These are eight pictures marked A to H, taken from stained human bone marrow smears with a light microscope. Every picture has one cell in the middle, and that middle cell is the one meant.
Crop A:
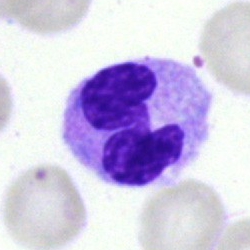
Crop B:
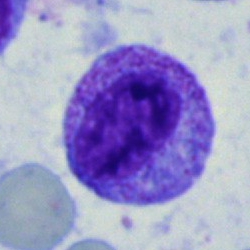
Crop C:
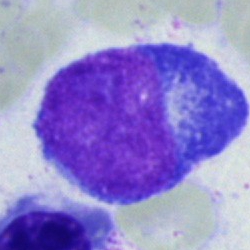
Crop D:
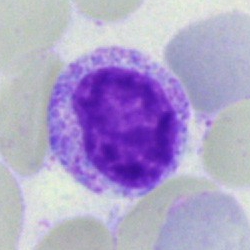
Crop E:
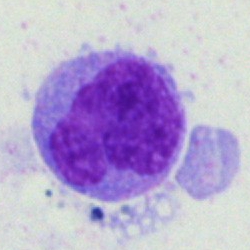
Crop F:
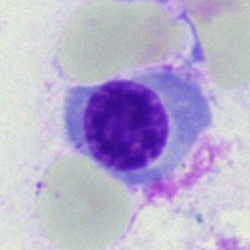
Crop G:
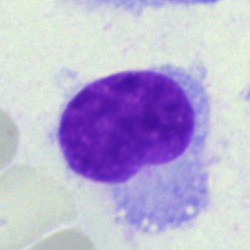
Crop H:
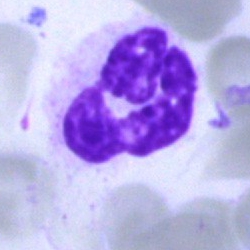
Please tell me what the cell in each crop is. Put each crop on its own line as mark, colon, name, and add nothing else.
A: segmented neutrophil
B: promyelocyte
C: blast
D: myelocyte
E: monocyte
F: erythroblast
G: hairy cell
H: segmented neutrophil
